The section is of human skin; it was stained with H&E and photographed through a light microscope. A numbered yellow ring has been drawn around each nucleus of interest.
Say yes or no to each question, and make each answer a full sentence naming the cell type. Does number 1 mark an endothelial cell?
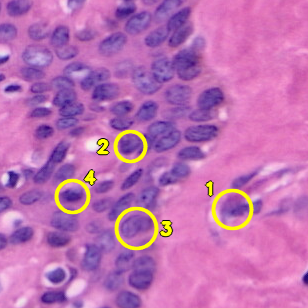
Yes, the cell tagged with the number 1 is an endothelial cell.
